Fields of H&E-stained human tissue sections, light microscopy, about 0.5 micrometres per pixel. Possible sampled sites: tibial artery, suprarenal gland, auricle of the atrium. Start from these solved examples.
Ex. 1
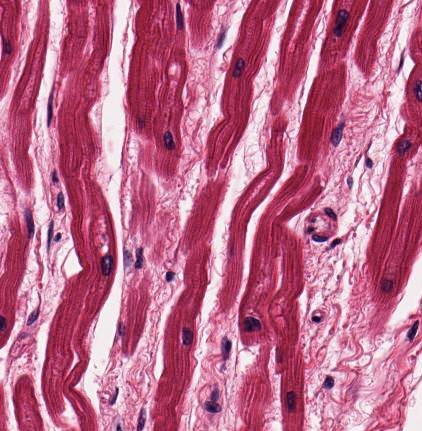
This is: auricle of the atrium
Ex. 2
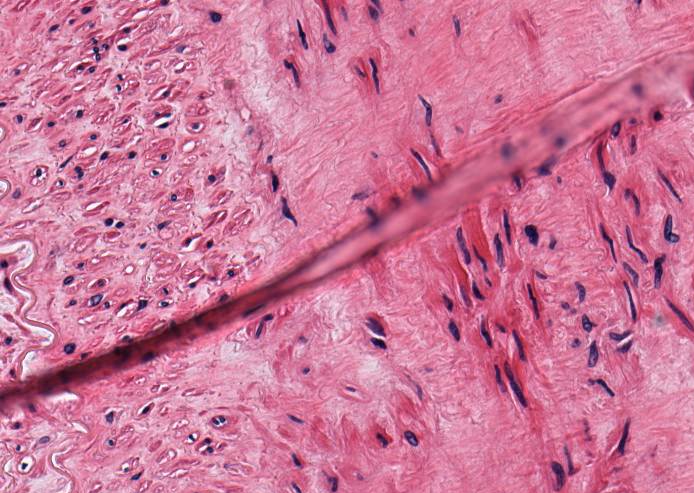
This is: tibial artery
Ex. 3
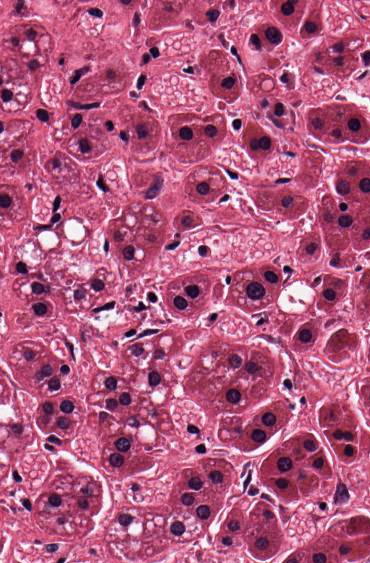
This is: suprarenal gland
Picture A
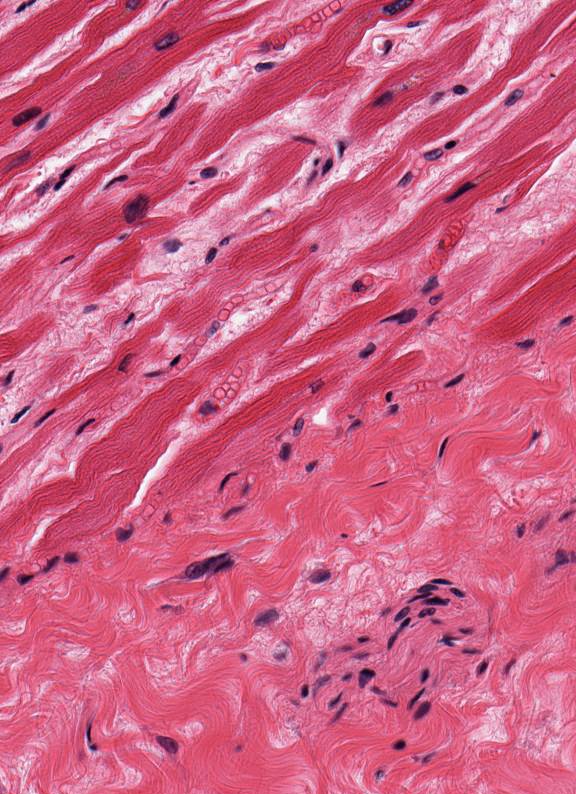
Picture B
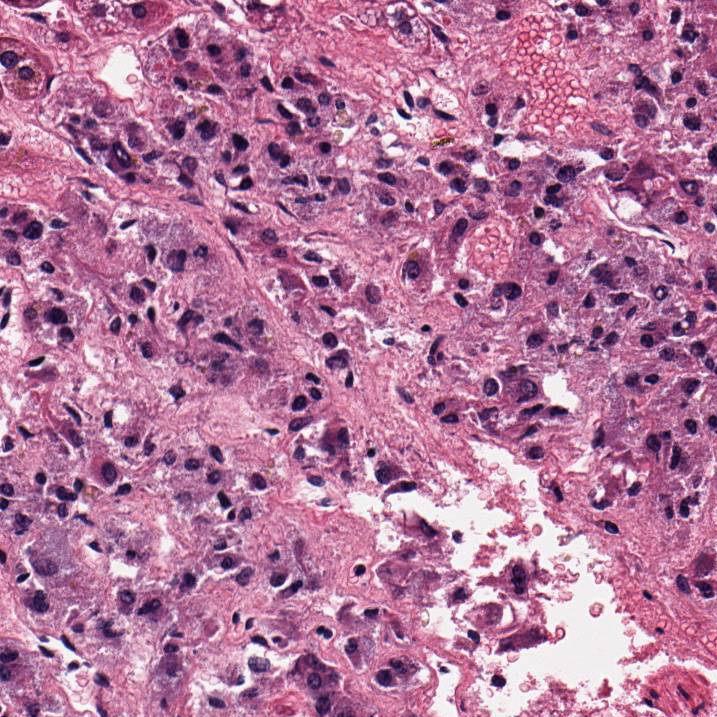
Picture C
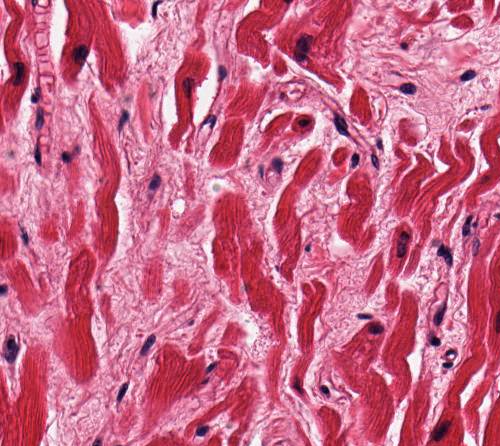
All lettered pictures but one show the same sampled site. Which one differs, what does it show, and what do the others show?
Picture B: suprarenal gland. All others: auricle of the atrium.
